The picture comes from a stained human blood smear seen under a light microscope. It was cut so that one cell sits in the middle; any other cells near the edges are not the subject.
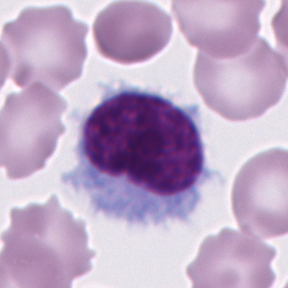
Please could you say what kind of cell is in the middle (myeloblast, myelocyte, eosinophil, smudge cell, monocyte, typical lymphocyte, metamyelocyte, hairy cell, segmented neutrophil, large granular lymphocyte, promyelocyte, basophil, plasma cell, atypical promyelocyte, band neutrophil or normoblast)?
hairy cell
